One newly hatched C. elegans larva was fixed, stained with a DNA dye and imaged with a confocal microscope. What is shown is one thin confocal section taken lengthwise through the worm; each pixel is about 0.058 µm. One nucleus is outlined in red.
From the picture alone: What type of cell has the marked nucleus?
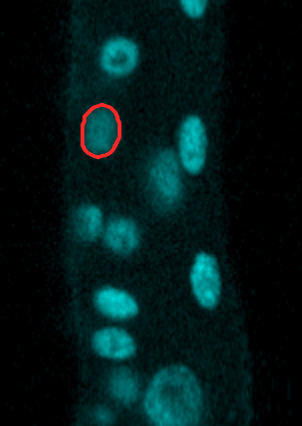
P cell (ventral epidermal blast cell)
